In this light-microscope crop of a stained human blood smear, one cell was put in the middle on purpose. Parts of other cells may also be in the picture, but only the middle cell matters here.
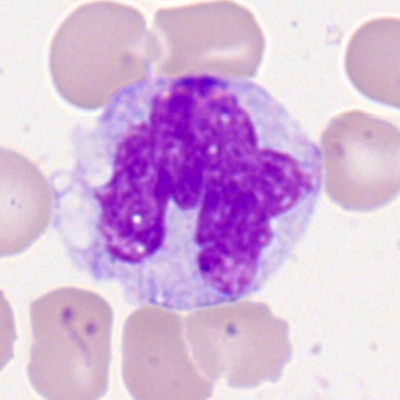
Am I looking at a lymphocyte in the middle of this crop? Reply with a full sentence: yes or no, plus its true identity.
No, this is not a lymphocyte at all; the cell in the middle is a monocyte.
